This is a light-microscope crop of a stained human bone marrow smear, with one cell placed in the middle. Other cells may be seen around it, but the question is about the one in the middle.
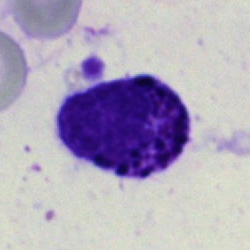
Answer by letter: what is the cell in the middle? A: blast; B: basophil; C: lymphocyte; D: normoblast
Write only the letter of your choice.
B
